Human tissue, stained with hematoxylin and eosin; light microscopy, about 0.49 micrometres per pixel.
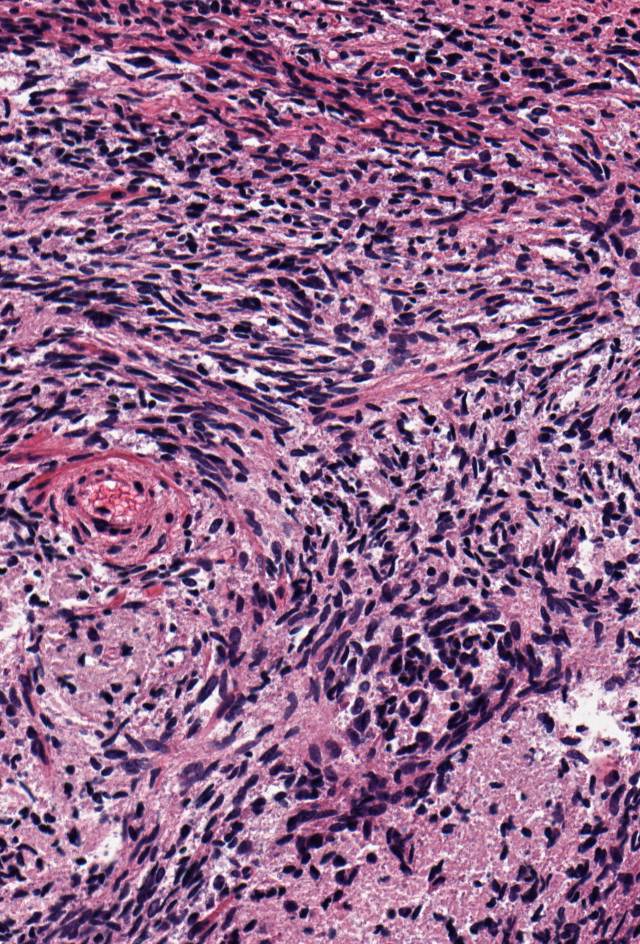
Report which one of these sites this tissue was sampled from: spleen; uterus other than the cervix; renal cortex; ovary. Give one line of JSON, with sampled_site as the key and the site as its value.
{"sampled_site": "ovary"}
